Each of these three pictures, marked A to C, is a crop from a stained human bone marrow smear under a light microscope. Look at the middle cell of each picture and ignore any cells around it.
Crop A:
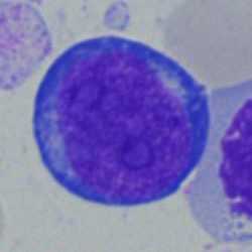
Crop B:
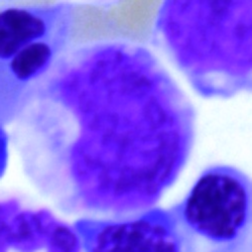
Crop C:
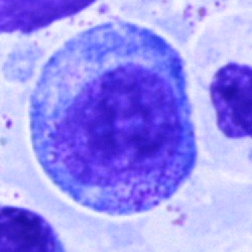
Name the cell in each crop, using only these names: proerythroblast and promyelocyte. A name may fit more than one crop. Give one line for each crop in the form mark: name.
A: proerythroblast
B: promyelocyte
C: promyelocyte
